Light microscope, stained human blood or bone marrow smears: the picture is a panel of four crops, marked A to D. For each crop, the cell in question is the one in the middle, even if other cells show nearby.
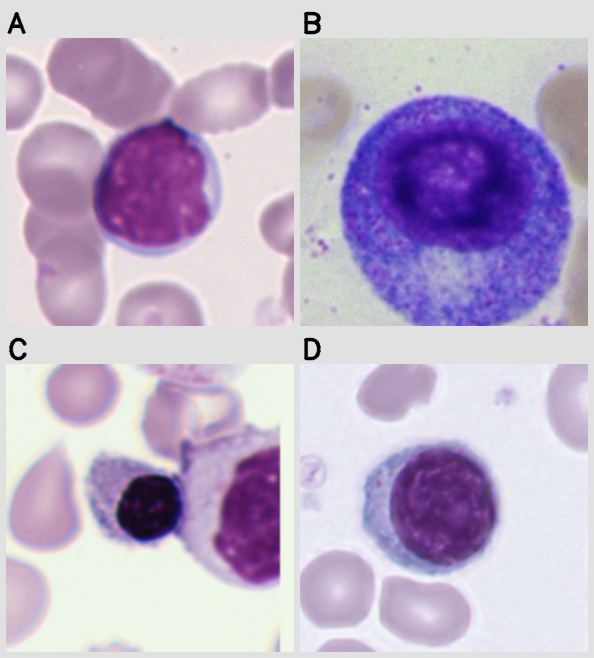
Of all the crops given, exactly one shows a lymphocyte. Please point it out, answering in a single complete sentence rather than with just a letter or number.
Look at crop A; that is the one with a lymphocyte in its center.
